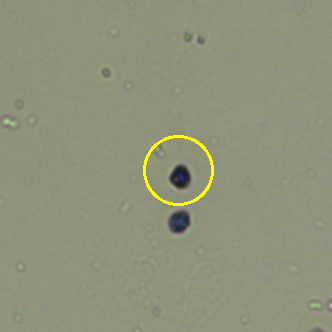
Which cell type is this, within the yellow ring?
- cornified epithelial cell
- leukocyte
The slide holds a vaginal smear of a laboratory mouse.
Within the ring is a leukocyte.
